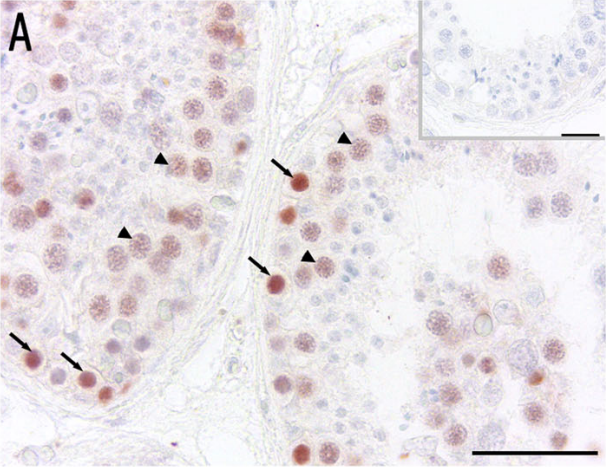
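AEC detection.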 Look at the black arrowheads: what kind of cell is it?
primary spermatocytes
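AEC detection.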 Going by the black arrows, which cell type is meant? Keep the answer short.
spermatogonia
